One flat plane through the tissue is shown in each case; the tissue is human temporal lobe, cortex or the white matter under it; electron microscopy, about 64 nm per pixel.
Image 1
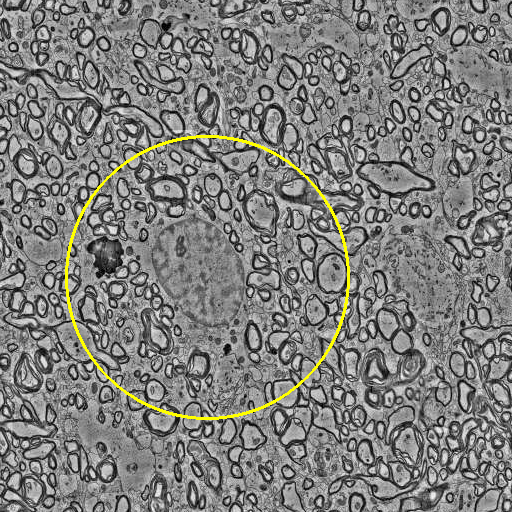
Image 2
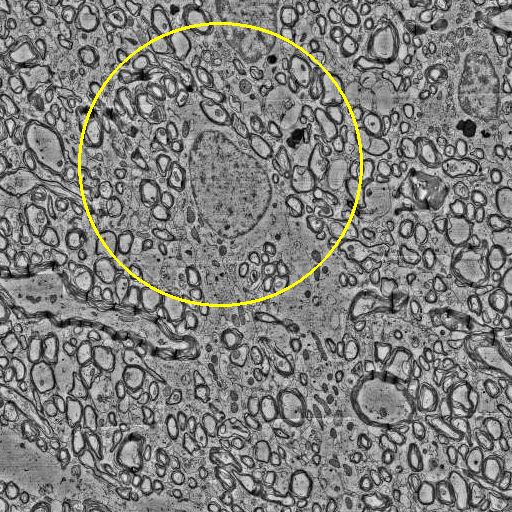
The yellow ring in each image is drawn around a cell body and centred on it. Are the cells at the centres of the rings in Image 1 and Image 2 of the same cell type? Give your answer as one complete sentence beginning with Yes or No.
No, the two cells are of two separate types.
